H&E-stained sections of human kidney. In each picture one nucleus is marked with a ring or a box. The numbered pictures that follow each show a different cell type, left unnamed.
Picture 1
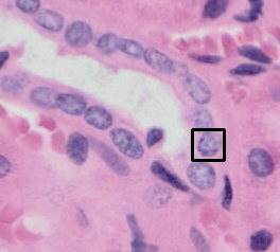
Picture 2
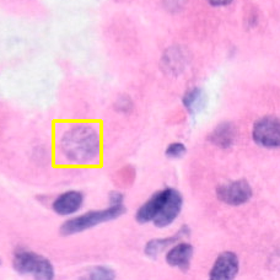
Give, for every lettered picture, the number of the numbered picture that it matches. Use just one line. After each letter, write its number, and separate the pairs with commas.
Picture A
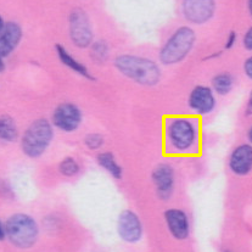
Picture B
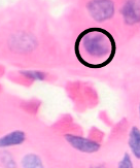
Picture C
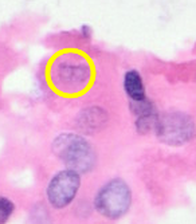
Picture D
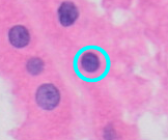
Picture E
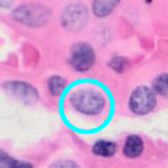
A 1, B 2, C 2, D 2, E 1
